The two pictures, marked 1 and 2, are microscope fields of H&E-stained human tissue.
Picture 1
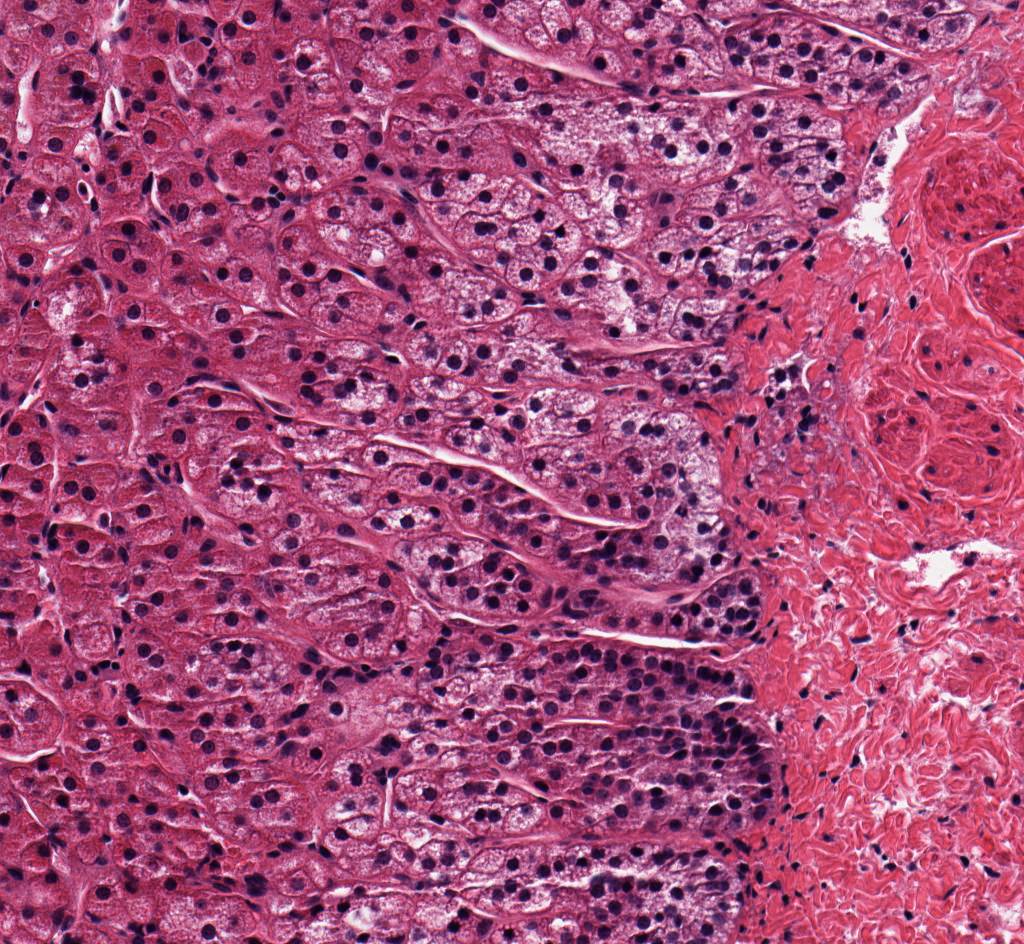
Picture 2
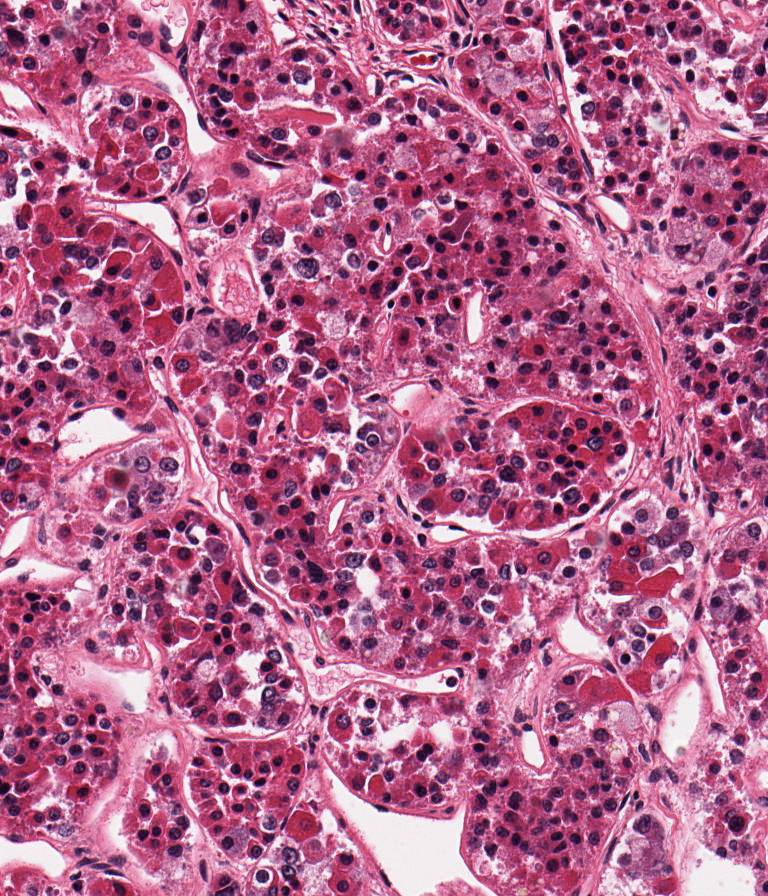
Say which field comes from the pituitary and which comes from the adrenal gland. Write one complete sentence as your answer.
Picture 2 comes from the pituitary, while picture 1 comes from the adrenal gland.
